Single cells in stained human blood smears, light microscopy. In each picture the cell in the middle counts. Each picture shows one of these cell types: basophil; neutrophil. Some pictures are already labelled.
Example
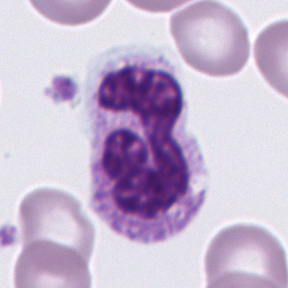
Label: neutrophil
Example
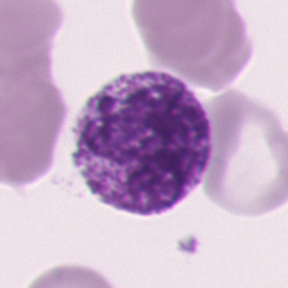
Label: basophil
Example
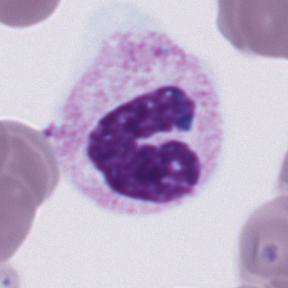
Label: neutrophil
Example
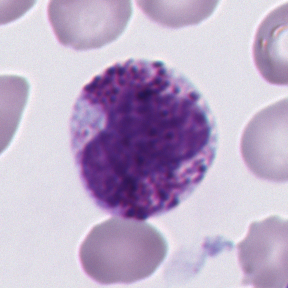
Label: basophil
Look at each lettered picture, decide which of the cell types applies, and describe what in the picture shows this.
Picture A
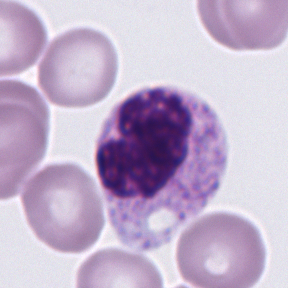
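Label: neutrophil. Small purple granules are scattered through the cytoplasm.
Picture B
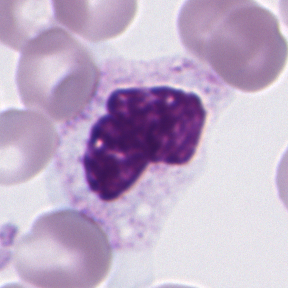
Label: neutrophil. Cytoplasm is abundant and surrounds the nucleus on all sides, broadest below it.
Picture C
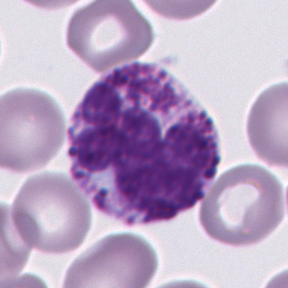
Label: basophil. The granules are coarse and individually distinct.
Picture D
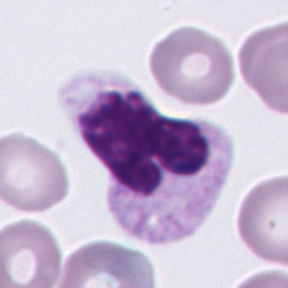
Label: neutrophil. The cytoplasm is plentiful and lies mostly below and to the right of the nucleus.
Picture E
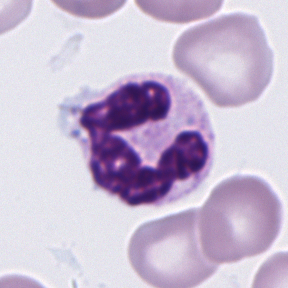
Label: neutrophil. The cytoplasm contains fine, faint pinkish granules.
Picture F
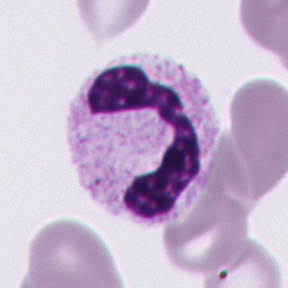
Label: neutrophil. Fine pink-violet granules are scattered throughout the cytoplasm.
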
